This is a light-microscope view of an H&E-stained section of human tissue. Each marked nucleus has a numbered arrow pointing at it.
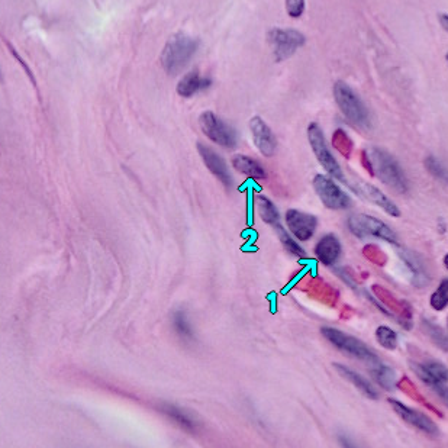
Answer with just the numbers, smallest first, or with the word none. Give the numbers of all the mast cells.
2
